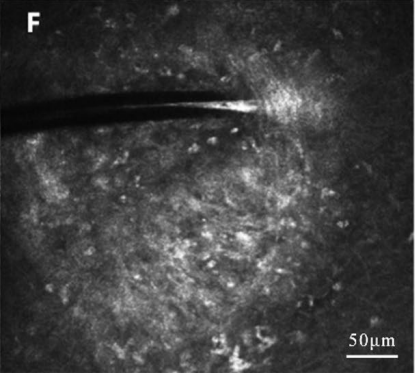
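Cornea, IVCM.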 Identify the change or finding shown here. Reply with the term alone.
Inflammatory cell infiltration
